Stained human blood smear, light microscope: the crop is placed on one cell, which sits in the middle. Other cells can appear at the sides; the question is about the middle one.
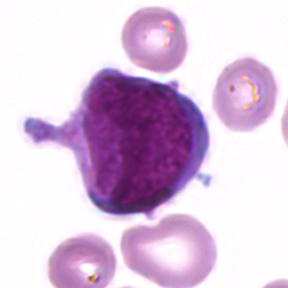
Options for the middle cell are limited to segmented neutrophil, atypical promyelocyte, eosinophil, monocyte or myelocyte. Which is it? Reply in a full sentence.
On this slide crop, the central cell is an atypical promyelocyte.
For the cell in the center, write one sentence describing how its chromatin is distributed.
There is no coarse clumping; the chromatin stays fine throughout.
